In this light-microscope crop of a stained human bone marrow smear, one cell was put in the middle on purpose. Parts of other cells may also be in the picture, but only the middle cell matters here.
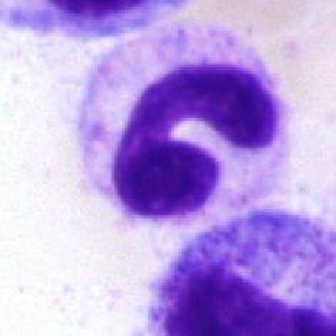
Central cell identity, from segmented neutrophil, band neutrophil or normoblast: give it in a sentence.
Of the cells in this crop, the central one is a band neutrophil.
